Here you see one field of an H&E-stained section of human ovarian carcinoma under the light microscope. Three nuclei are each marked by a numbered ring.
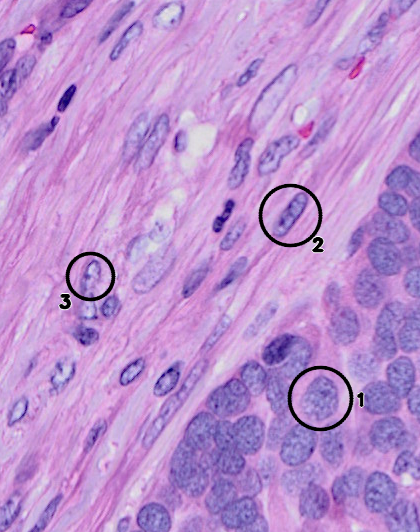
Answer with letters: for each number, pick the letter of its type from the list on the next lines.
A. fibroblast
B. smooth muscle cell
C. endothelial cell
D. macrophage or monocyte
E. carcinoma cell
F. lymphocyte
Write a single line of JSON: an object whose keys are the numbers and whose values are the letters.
{"1": "E", "2": "A", "3": "A"}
